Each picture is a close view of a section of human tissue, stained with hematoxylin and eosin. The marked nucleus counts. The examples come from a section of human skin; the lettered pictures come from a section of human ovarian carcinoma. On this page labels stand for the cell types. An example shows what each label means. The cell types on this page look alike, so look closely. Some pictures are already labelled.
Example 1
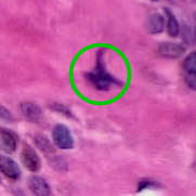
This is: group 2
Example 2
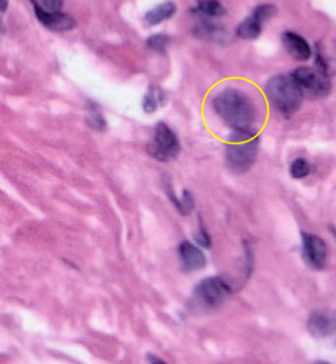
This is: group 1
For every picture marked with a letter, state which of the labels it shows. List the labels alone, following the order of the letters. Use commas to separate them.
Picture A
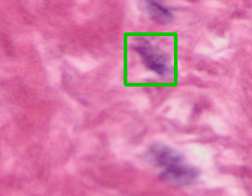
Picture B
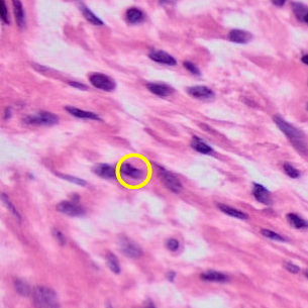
group 2, group 2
